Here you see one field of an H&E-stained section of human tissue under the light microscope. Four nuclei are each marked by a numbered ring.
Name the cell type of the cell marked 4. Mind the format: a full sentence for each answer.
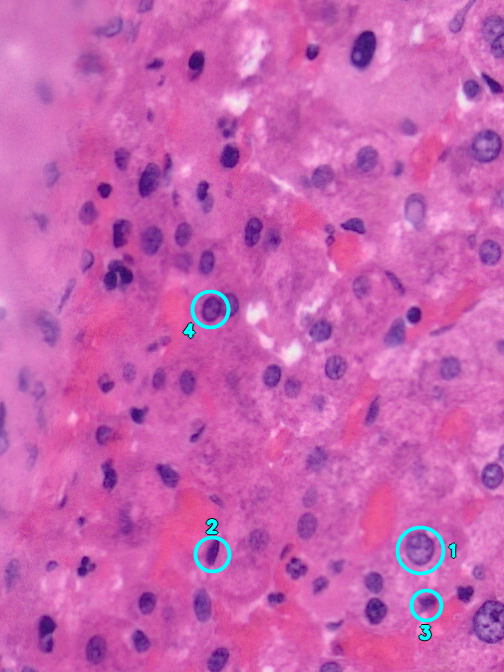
Marked with the number 4, this cell is a hepatocyte.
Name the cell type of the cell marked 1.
The cell bearing label 1 corresponds to a hepatocyte.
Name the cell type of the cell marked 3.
Number 3 is placed on a fibroblast or stellate cell here.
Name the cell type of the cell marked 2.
Corresponding to a fibroblast or stellate cell is the cell labelled 2.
